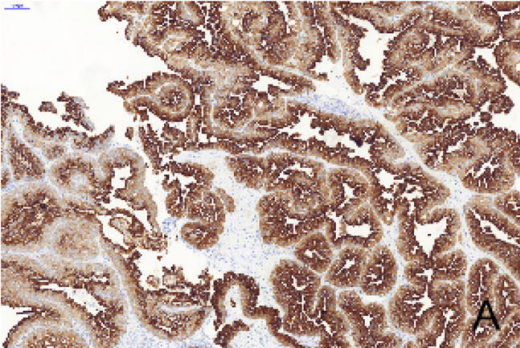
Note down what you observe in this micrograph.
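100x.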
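Complex branching papillary folds with thin pale blue fibrovascular cores are lined by epithelium. The luminal cells lining the folds show strong, diffuse brown cytoplasmic staining, in sharp contrast to the unstained stroma.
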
